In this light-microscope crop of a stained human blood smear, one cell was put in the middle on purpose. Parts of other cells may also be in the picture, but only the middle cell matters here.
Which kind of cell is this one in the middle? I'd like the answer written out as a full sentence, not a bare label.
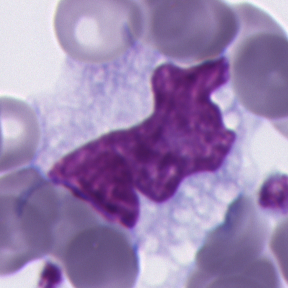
What the crop centres on is a monocyte.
